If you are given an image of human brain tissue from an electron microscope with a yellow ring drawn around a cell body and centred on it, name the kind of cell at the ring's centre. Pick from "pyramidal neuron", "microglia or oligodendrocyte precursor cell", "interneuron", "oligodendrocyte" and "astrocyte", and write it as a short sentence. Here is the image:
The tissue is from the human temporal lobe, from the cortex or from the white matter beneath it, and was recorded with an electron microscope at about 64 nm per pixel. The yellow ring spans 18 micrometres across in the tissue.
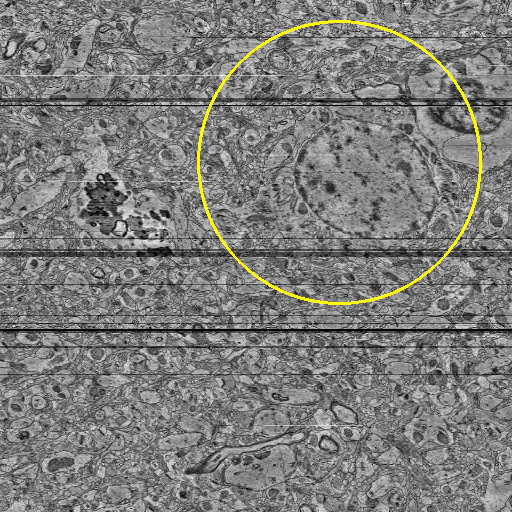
The cell at the ring's centre is an astrocyte.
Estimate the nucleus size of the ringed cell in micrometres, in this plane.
The nucleus comes to roughly 9 micrometres across in this plane.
